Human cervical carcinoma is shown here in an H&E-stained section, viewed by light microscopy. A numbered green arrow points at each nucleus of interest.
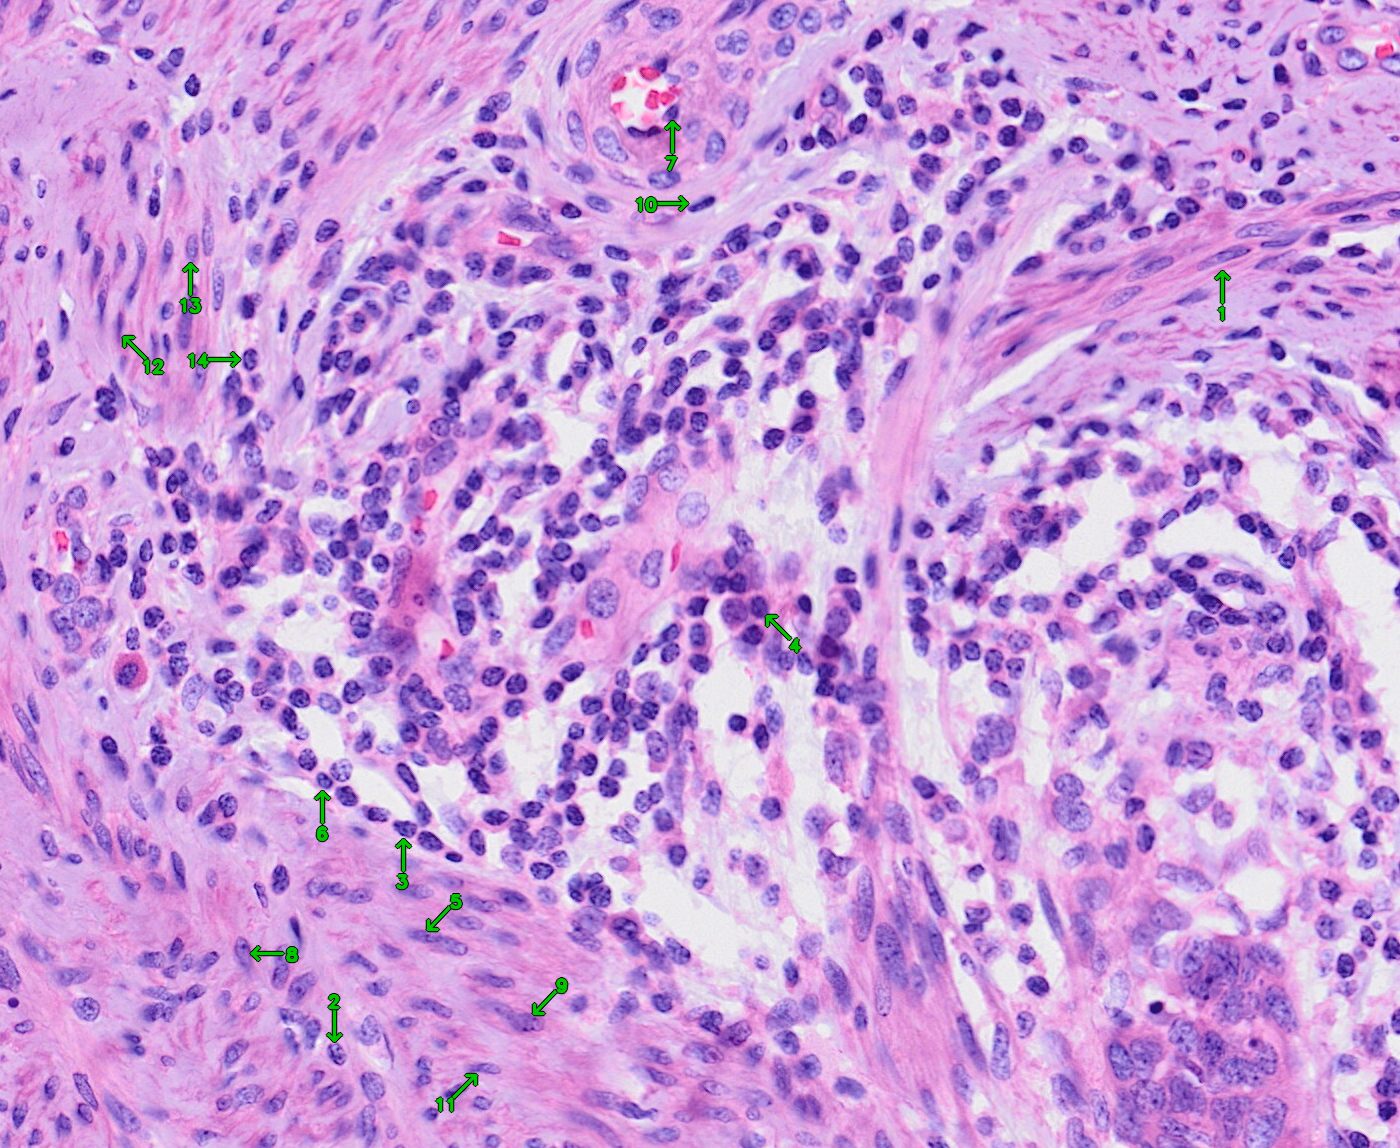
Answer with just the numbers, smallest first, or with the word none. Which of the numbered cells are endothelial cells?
7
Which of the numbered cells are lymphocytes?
2, 3, 4, 6, 10, 14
